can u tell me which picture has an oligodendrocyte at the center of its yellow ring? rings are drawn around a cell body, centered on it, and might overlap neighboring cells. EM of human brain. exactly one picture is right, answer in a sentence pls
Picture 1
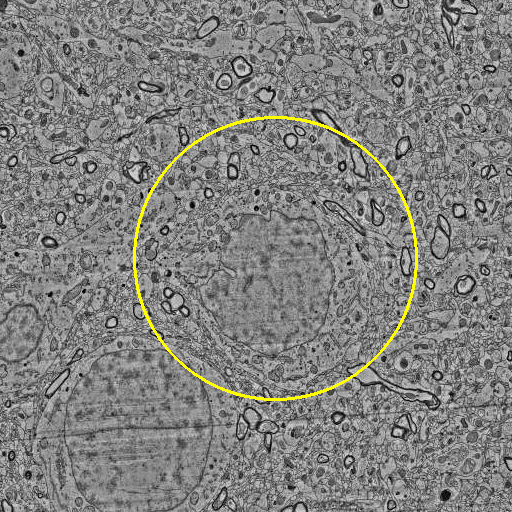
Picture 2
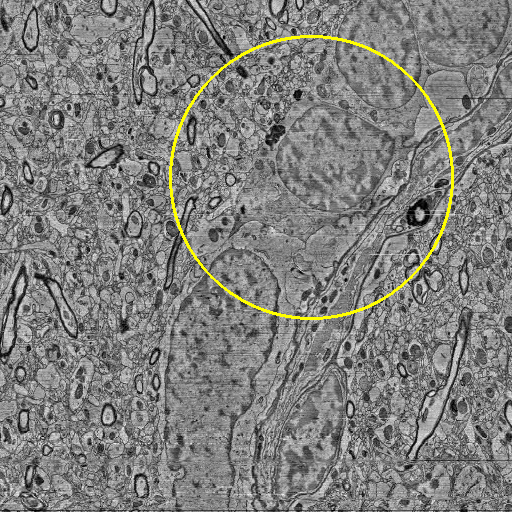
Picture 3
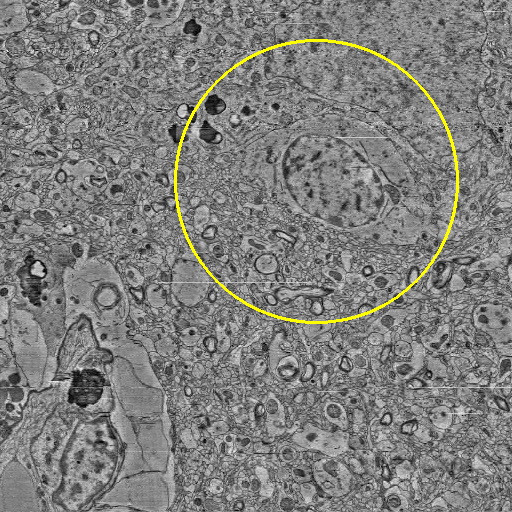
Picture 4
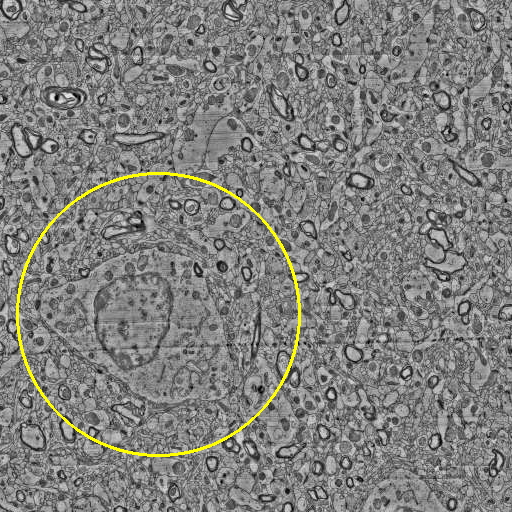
Picture 2 is the one.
